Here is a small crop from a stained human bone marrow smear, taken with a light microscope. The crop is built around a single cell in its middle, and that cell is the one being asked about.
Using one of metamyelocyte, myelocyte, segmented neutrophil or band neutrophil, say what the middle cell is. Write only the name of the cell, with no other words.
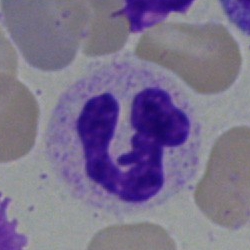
segmented neutrophil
